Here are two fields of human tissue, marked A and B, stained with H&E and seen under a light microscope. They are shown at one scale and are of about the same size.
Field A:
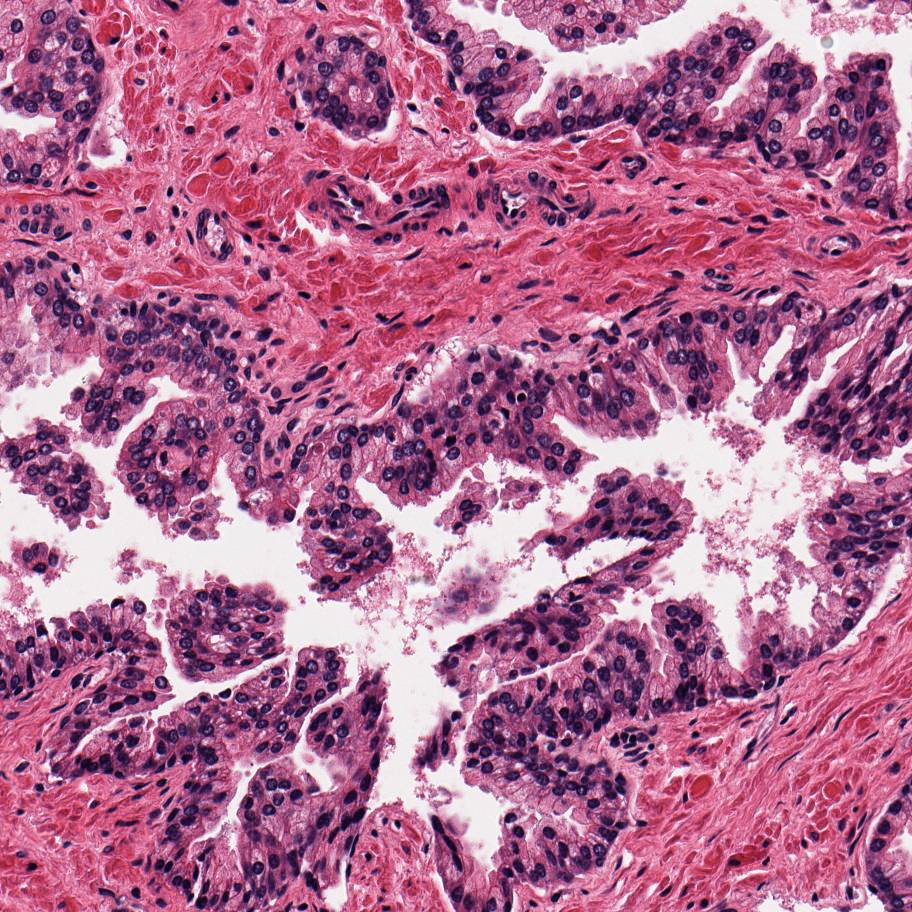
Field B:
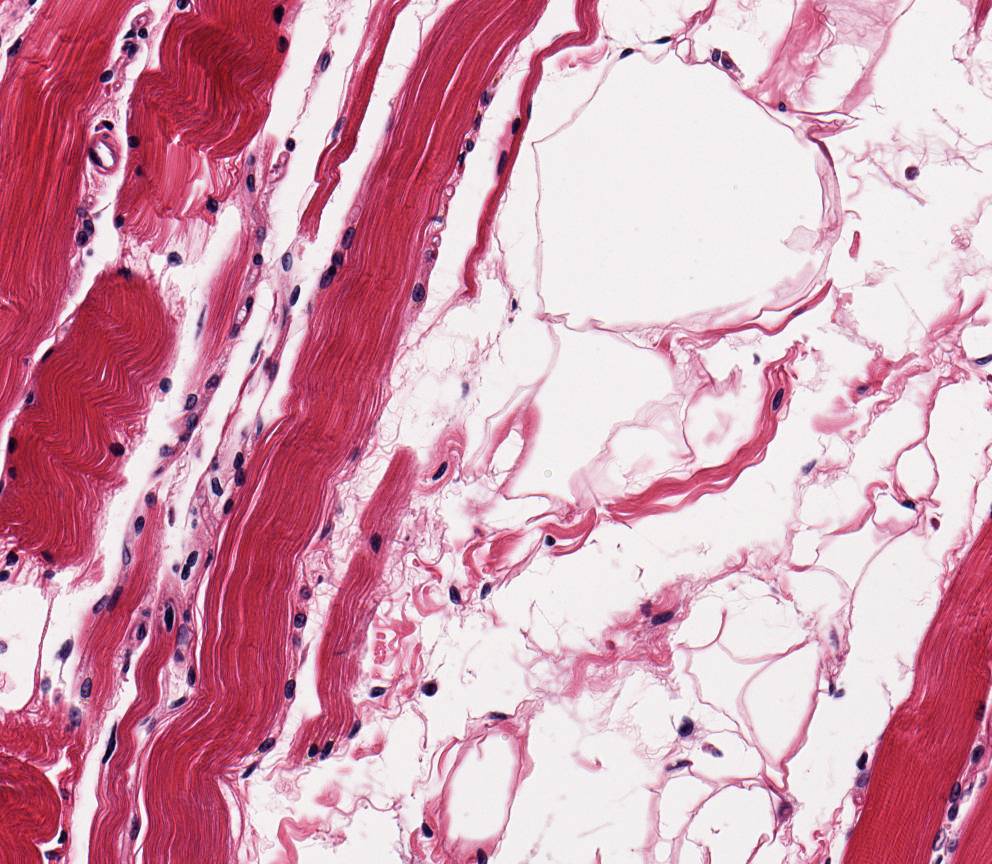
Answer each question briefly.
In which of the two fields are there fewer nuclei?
B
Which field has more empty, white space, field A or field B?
B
